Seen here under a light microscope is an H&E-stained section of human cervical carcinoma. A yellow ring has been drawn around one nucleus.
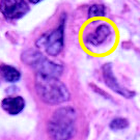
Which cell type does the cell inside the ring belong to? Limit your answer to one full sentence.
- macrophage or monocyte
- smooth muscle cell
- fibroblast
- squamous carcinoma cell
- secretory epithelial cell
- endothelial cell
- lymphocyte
In this tissue section, the cell inside the ring is to be classed as a macrophage or monocyte.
